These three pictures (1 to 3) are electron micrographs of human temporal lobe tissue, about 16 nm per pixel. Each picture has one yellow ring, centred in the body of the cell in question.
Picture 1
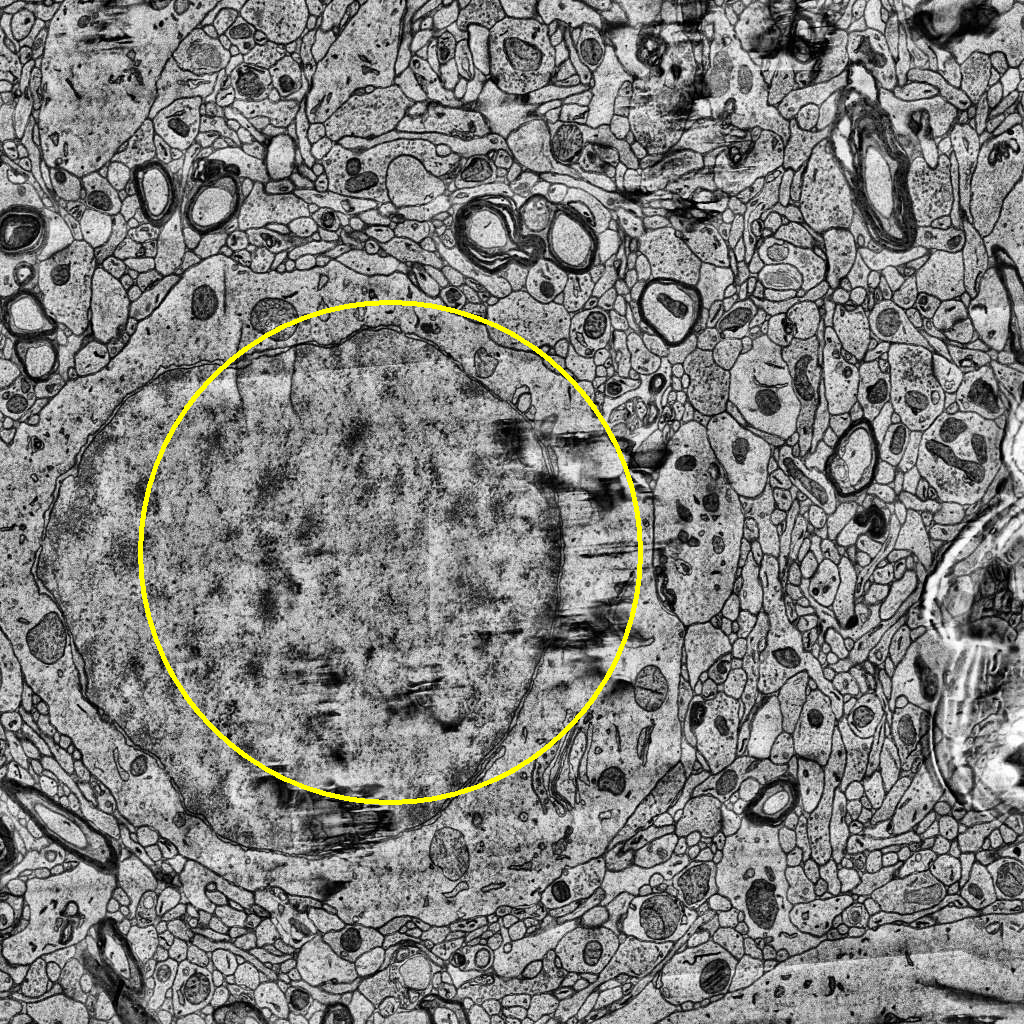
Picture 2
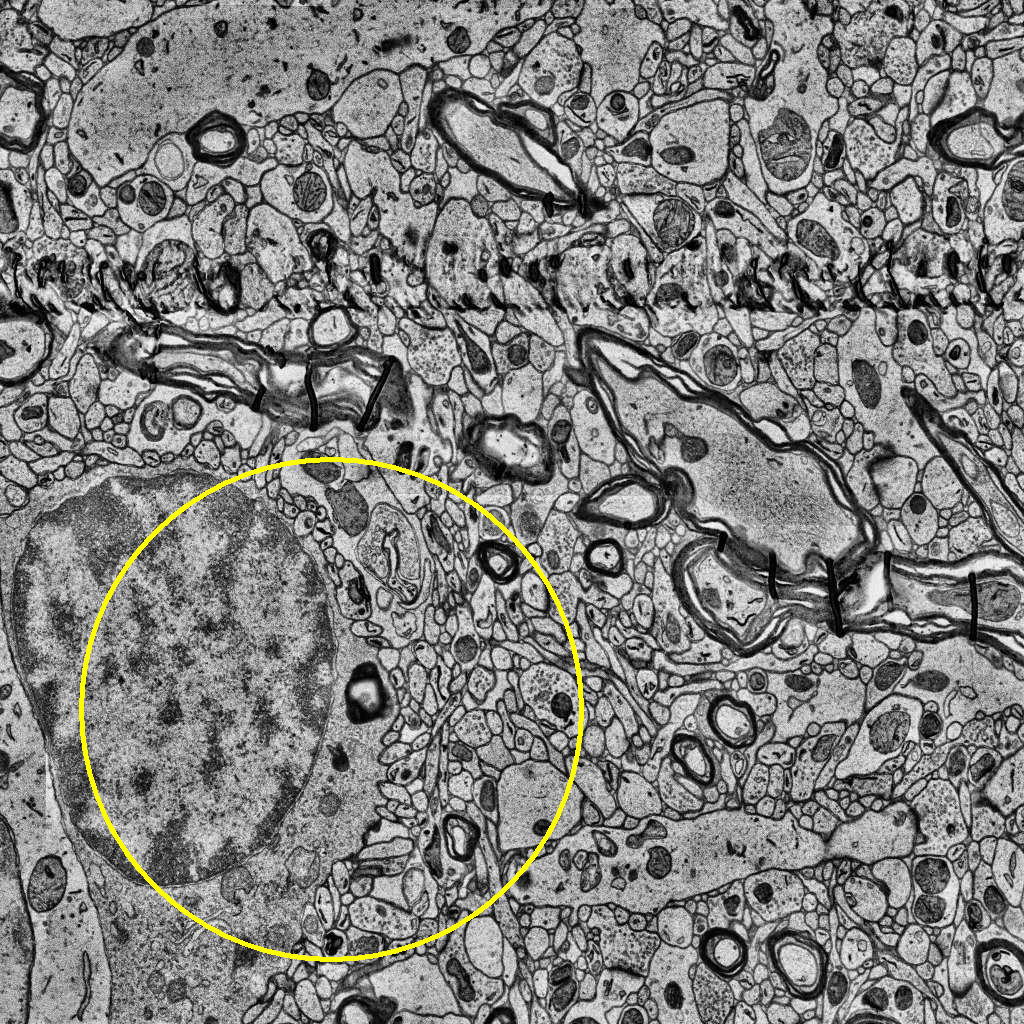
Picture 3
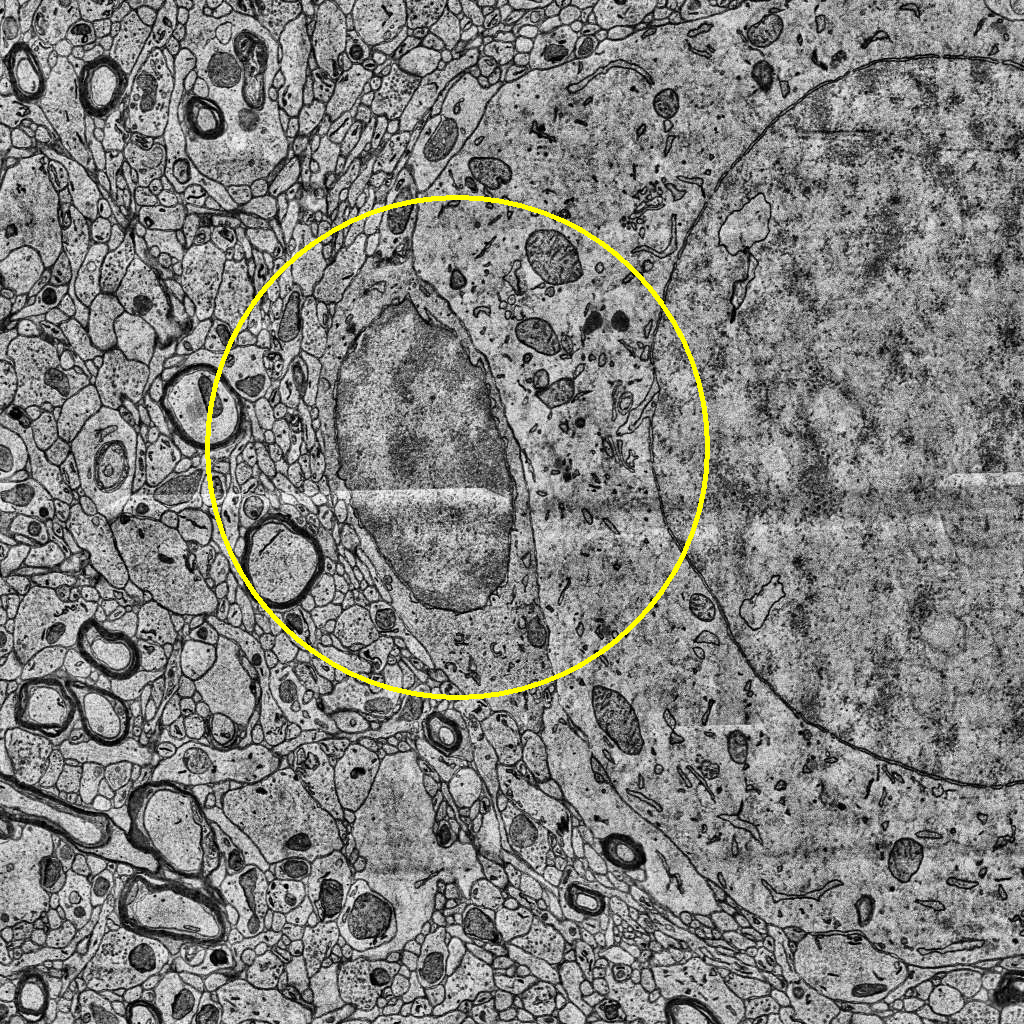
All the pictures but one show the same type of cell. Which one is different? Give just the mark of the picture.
1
